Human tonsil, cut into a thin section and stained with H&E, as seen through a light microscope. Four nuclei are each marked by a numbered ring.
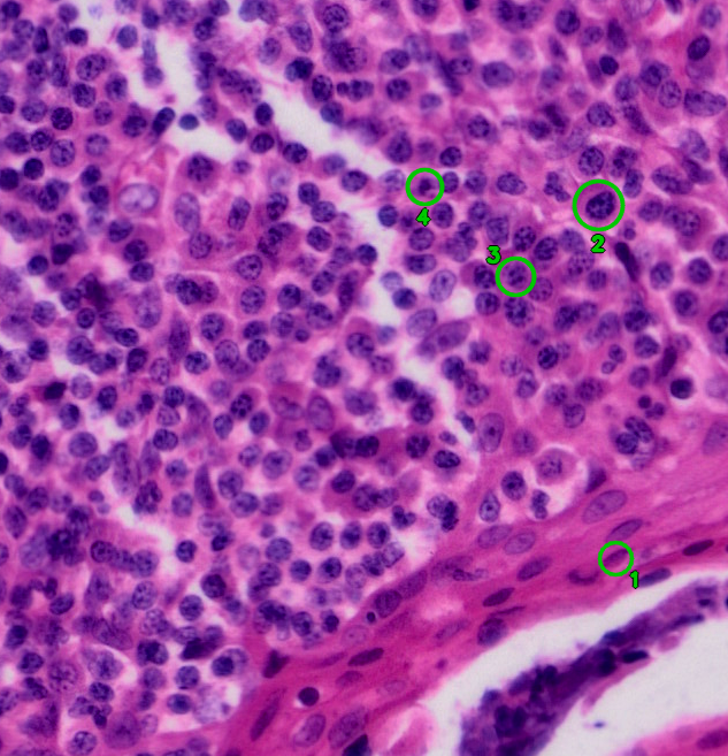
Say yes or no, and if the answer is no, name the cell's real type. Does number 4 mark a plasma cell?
Yes.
